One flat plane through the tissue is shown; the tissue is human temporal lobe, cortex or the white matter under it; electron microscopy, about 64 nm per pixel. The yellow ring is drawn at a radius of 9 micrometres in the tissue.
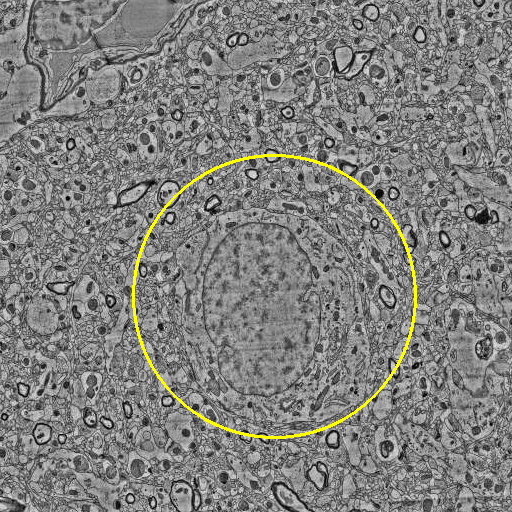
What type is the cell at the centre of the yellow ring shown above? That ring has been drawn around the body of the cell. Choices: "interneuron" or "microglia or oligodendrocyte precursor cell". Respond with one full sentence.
My answer is that an interneuron lies at the centre of the yellow ring above.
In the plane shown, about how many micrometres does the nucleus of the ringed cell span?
In this plane, about 11 micrometres in length and 8 in width.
